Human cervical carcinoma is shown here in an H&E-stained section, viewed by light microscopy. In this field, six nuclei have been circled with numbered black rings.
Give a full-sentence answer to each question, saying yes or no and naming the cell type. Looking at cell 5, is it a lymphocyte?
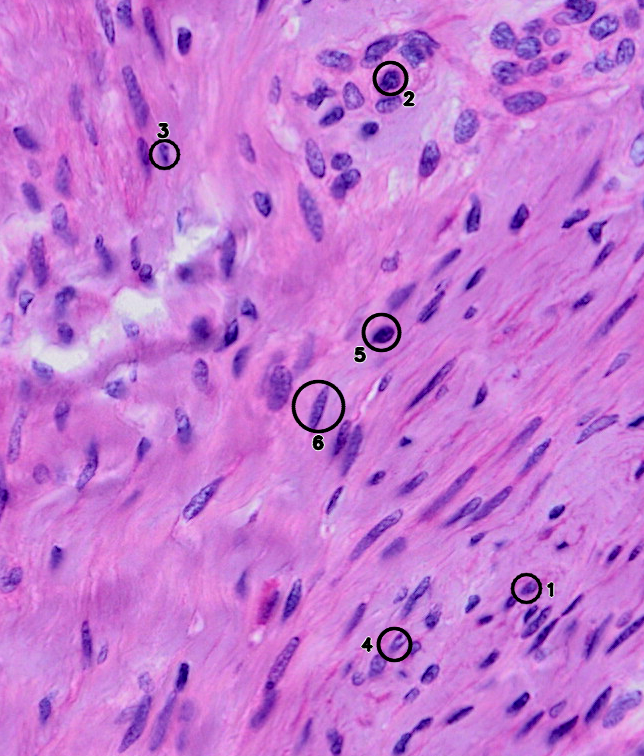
Yes, the cell at number 5 is a lymphocyte.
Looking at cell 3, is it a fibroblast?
Yes, kindly take note: the cell numbered 3 is a fibroblast.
